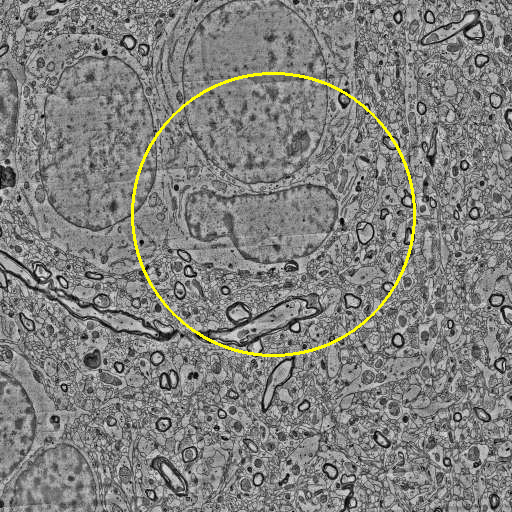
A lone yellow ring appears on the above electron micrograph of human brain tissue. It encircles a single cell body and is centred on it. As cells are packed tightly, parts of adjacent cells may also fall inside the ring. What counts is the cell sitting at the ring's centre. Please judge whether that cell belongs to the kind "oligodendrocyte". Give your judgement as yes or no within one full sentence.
No, the cell lying at the centre of the ring in the picture belongs to another kind.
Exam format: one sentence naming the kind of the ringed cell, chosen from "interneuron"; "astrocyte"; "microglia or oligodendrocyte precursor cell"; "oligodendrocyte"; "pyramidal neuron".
Instead, the picture shows a microglial cell or oligodendrocyte precursor cell at the centre of the ring.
